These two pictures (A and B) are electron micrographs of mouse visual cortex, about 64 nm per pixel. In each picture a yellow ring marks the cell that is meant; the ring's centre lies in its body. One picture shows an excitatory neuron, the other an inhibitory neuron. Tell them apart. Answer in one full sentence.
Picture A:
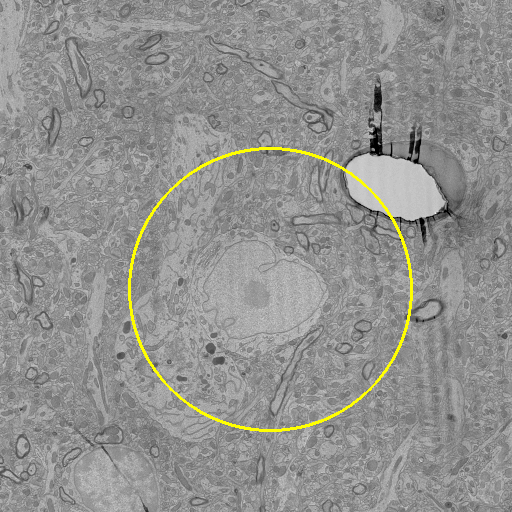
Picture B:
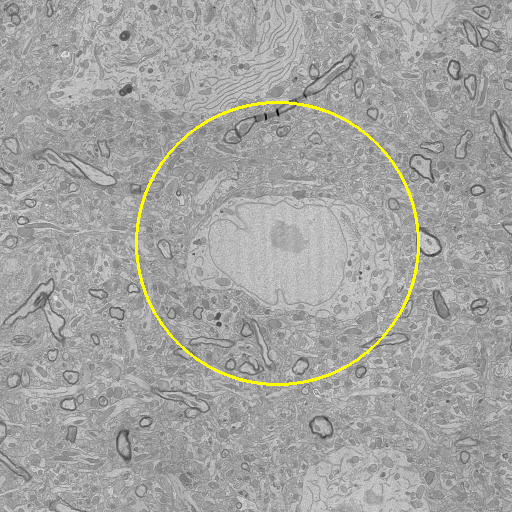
It is picture A that shows an inhibitory neuron, and picture B that shows an excitatory neuron.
